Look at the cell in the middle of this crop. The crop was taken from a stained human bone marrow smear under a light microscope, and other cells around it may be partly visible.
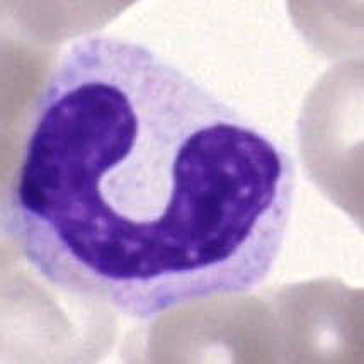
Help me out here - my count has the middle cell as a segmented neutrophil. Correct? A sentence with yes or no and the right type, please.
No, the central cell is properly termed a band neutrophil, not a segmented neutrophil.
